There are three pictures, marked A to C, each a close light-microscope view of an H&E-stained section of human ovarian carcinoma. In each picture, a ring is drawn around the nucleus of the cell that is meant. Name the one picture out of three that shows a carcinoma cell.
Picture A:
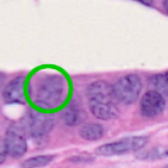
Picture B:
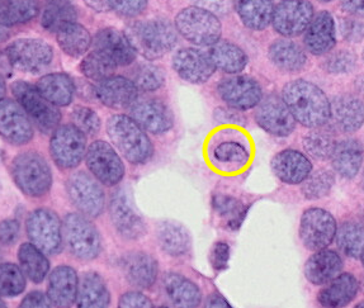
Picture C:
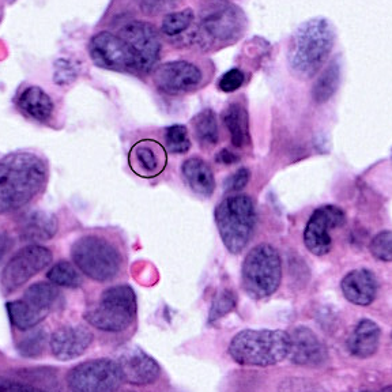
A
